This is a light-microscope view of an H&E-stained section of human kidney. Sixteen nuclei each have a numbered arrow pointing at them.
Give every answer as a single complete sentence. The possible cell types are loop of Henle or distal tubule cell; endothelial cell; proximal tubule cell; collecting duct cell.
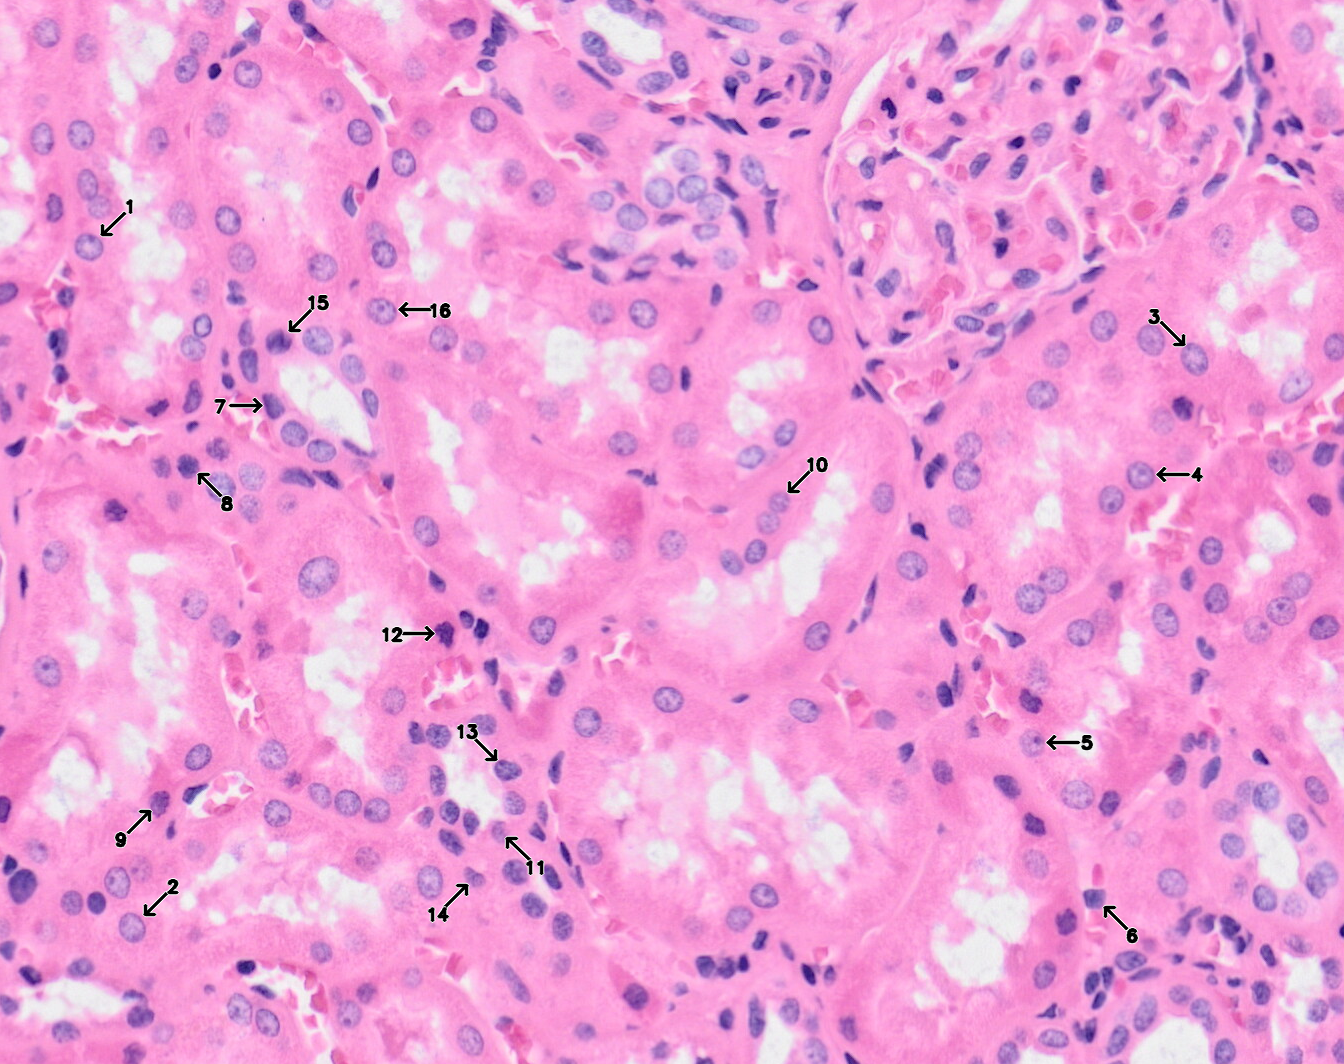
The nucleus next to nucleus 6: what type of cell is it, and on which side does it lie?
Just below and to the left of nucleus 6 lies the nearest nucleus, which belongs to a proximal tubule cell.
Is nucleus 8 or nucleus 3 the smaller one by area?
Number 8 is smaller, since number 3 takes up about 1.5 times as much area.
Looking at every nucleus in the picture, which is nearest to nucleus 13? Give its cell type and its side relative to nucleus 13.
The nearest one is a loop of Henle or distal tubule cell, found below nucleus 13.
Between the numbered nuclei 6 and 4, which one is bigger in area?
The larger nucleus is 4, at roughly 1.5 times the area of 6.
